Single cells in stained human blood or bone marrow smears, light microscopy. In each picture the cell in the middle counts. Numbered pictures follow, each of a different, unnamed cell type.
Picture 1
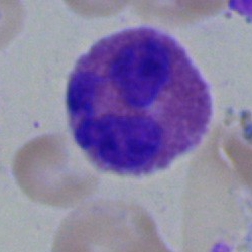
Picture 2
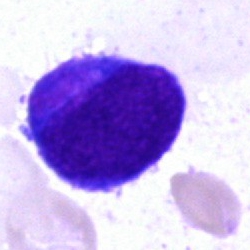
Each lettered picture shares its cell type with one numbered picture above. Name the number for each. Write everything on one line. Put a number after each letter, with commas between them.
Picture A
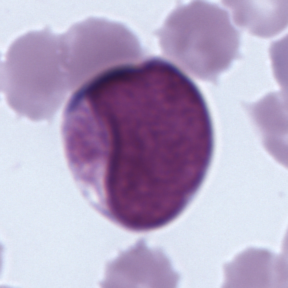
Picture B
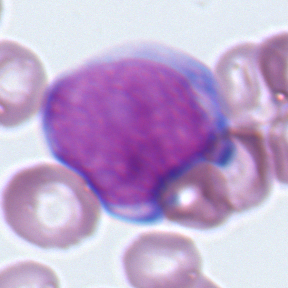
A 2, B 2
